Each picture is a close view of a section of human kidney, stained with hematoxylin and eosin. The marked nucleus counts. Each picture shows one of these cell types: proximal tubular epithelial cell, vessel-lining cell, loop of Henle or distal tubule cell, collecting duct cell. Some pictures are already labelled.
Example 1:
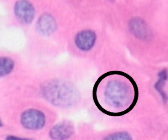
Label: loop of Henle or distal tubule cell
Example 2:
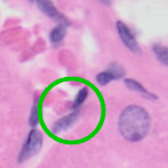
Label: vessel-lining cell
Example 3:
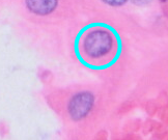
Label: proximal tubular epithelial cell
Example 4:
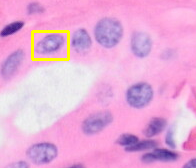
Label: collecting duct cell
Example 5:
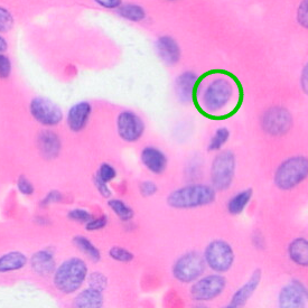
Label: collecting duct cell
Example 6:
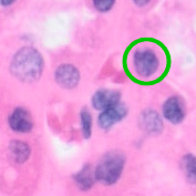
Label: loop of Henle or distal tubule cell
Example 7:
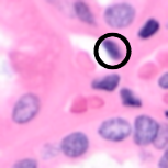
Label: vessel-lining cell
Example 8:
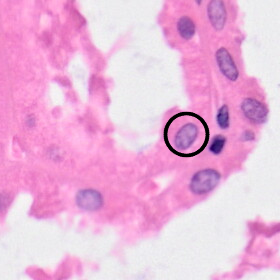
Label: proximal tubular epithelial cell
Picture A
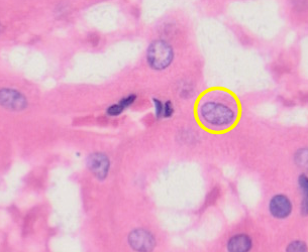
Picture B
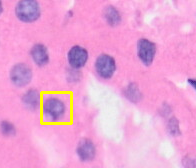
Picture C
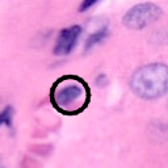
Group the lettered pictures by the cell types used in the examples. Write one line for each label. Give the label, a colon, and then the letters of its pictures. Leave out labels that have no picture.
proximal tubular epithelial cell: A
vessel-lining cell: C
loop of Henle or distal tubule cell: B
